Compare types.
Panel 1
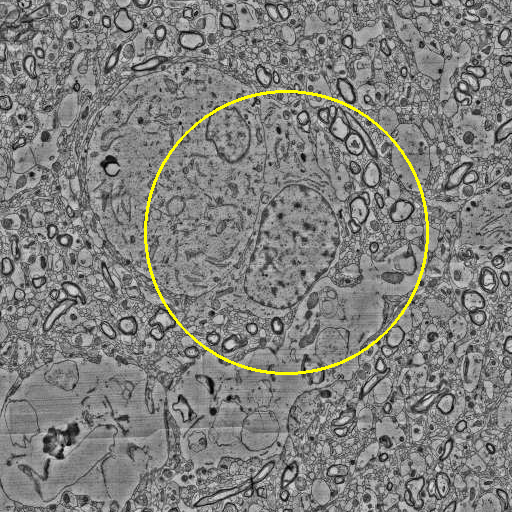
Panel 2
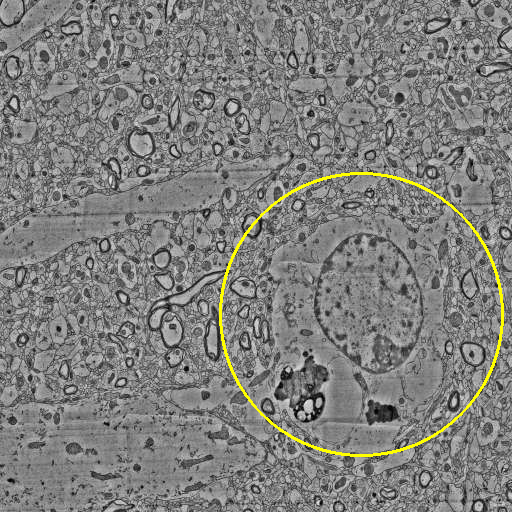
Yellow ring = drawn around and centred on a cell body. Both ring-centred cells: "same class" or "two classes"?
two classes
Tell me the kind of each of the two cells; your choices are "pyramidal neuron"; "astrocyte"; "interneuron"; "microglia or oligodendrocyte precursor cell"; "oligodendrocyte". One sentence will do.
The ringed cell is a microglial cell or oligodendrocyte precursor cell in the first picture and an astrocyte in the second picture.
